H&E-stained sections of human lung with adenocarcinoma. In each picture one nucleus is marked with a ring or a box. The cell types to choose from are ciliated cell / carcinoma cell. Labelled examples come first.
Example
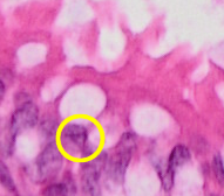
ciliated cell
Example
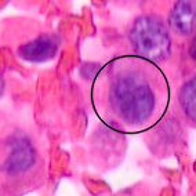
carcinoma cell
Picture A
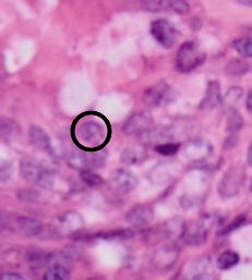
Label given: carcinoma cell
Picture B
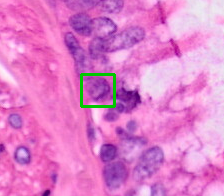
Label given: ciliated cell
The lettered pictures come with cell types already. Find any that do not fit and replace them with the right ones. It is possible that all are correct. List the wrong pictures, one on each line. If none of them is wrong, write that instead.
A should be ciliated cell, not carcinoma cell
